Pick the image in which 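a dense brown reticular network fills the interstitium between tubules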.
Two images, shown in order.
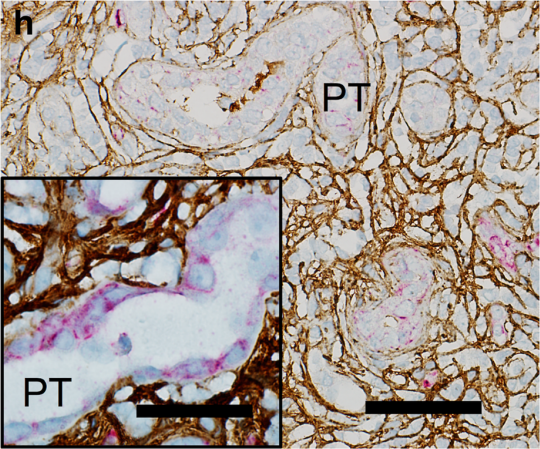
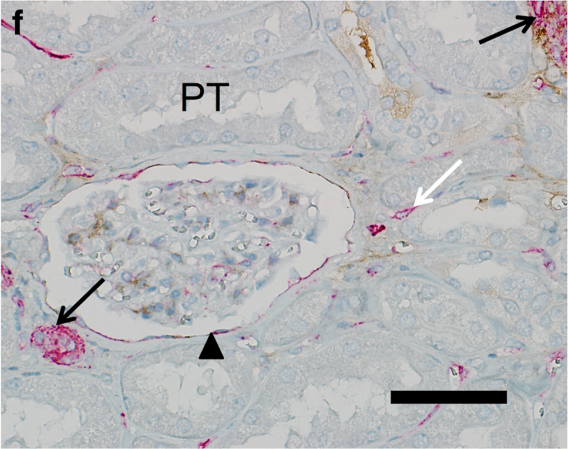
the first image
